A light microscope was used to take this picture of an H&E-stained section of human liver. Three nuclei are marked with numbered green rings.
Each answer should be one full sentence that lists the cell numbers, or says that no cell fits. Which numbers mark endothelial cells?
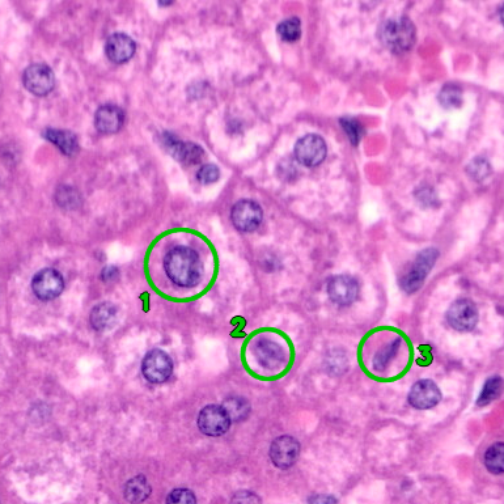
Cell 3 is an endothelial cell, and that holds for no other numbered cell.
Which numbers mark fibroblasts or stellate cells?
The marked and numbered cells comprise no fibroblasts or stellate cells.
